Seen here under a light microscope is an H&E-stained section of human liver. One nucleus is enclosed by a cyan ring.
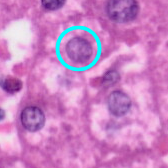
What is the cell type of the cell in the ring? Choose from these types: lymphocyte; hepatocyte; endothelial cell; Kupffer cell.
hepatocyte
